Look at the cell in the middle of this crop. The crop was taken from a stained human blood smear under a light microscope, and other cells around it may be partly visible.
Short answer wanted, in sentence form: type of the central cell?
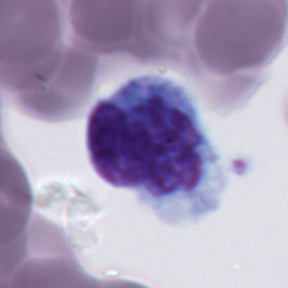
The cell shown in the center of this light-microscope crop is a monocyte.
